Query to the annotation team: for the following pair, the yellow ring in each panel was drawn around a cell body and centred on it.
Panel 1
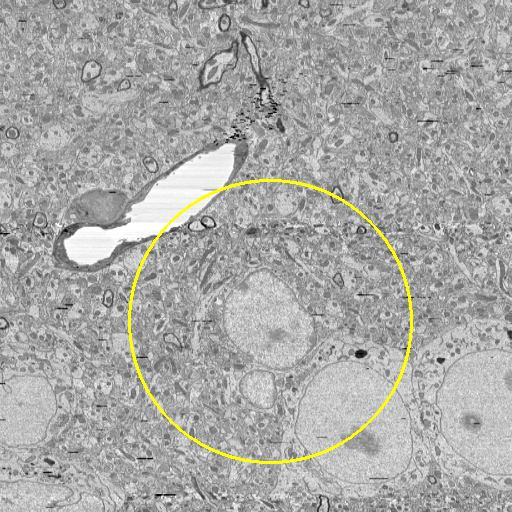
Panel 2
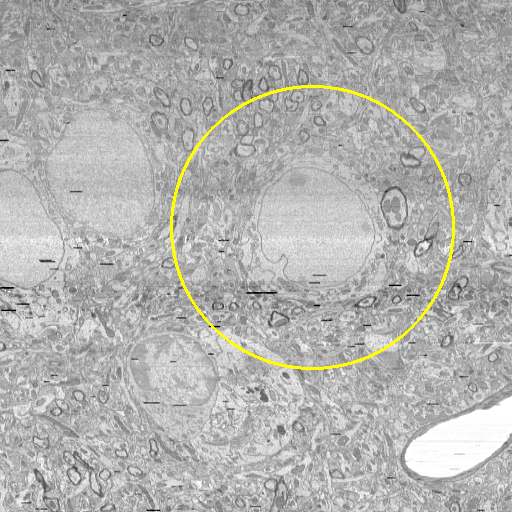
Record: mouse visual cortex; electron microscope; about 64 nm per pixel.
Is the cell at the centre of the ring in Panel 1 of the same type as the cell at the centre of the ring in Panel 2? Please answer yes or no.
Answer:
no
